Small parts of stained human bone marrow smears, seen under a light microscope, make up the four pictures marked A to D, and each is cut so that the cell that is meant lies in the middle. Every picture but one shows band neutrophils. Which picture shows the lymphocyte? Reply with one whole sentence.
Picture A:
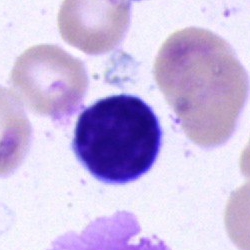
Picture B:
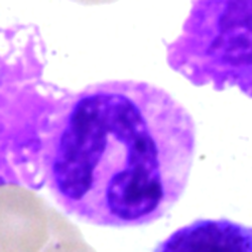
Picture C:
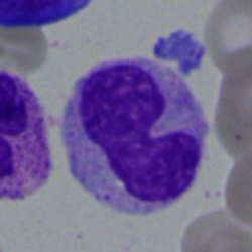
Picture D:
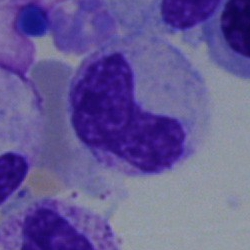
Picture A is the one that shows the lymphocyte.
